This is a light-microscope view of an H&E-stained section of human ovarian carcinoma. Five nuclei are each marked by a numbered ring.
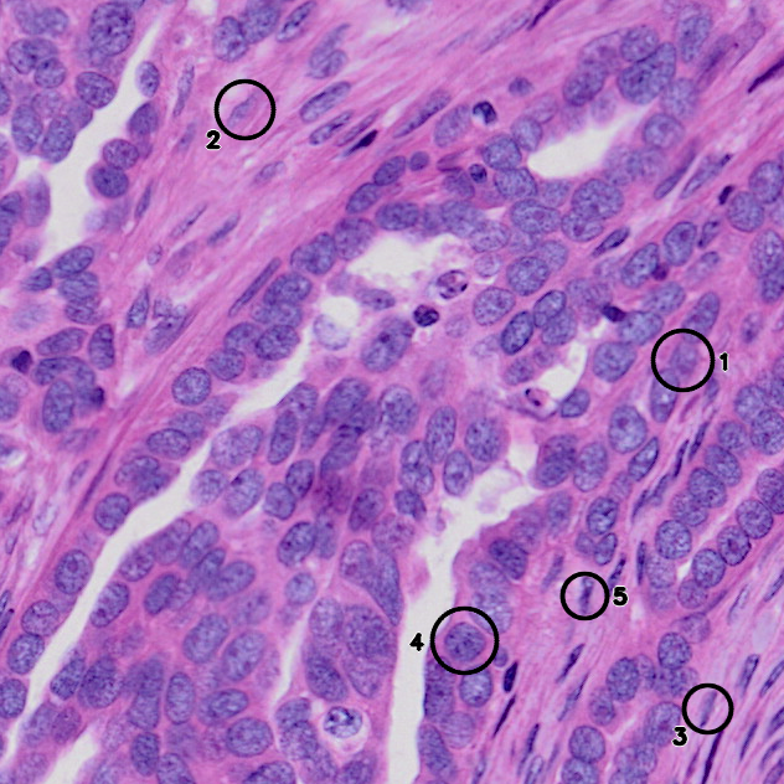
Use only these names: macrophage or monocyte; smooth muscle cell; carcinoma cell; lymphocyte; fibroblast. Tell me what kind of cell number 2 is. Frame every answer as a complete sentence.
The cell numbered 2 represents a fibroblast.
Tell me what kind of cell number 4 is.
That cell with number 4 is a carcinoma cell.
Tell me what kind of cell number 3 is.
The cell carrying label 3 is identified as a fibroblast.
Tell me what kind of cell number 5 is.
The numbered cell 5 is identified here as a fibroblast.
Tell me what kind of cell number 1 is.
The cell that bears the number 1 is a carcinoma cell.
